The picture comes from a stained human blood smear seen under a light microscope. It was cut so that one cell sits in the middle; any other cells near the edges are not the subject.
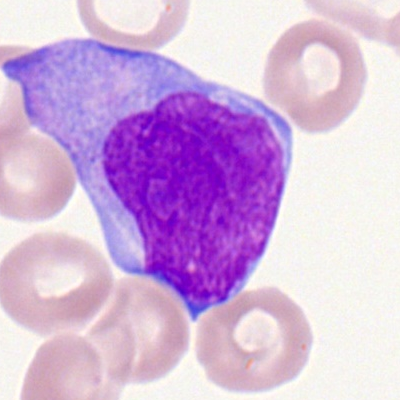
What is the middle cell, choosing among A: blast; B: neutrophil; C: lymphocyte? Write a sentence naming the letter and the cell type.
Here the central cell is a blast, and option A is correct.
